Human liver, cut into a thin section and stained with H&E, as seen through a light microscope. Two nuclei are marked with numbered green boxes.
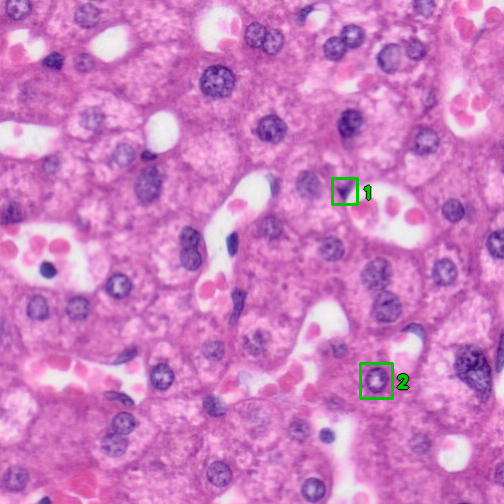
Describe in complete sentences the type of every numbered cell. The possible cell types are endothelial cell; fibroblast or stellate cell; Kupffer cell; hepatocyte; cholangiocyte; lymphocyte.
Cell 1 is a fibroblast or stellate cell and cell 2 is a hepatocyte.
